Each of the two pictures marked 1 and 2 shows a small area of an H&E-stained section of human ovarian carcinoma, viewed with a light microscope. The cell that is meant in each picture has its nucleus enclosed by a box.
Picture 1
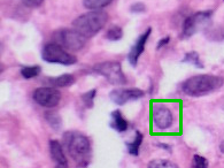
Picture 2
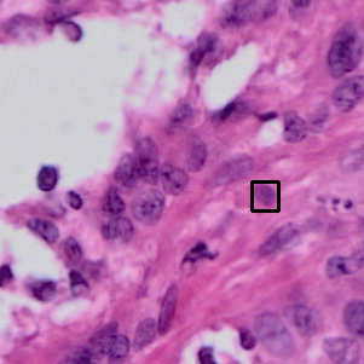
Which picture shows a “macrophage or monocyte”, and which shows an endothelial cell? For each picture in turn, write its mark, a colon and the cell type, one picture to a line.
1: macrophage or monocyte
2: endothelial cell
